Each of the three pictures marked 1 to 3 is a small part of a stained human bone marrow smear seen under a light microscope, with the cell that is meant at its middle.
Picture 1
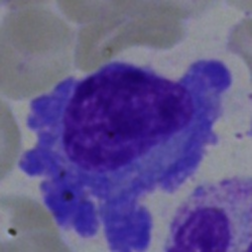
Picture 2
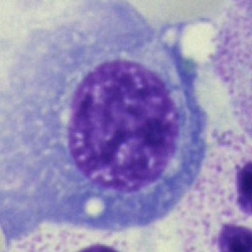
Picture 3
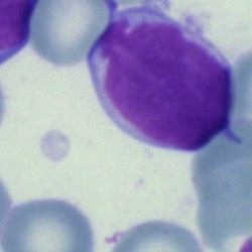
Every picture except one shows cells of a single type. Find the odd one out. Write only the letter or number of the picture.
3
